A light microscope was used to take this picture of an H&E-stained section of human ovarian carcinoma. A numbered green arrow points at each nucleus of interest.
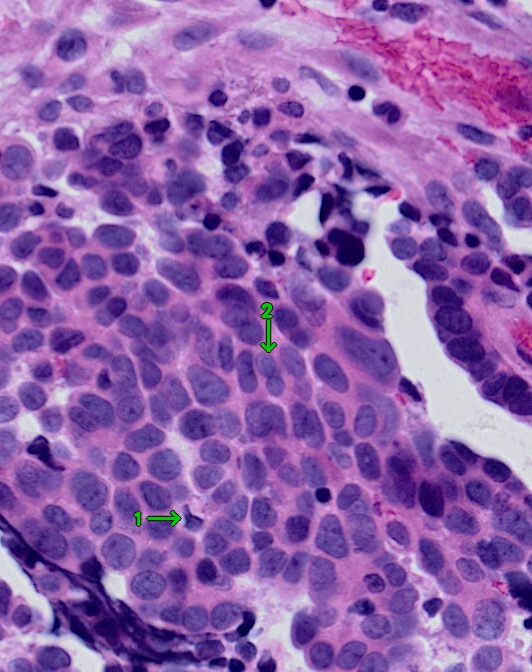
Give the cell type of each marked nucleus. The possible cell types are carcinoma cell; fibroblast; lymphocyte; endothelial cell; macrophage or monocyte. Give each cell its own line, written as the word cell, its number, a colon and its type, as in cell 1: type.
cell 1: macrophage or monocyte
cell 2: carcinoma cell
